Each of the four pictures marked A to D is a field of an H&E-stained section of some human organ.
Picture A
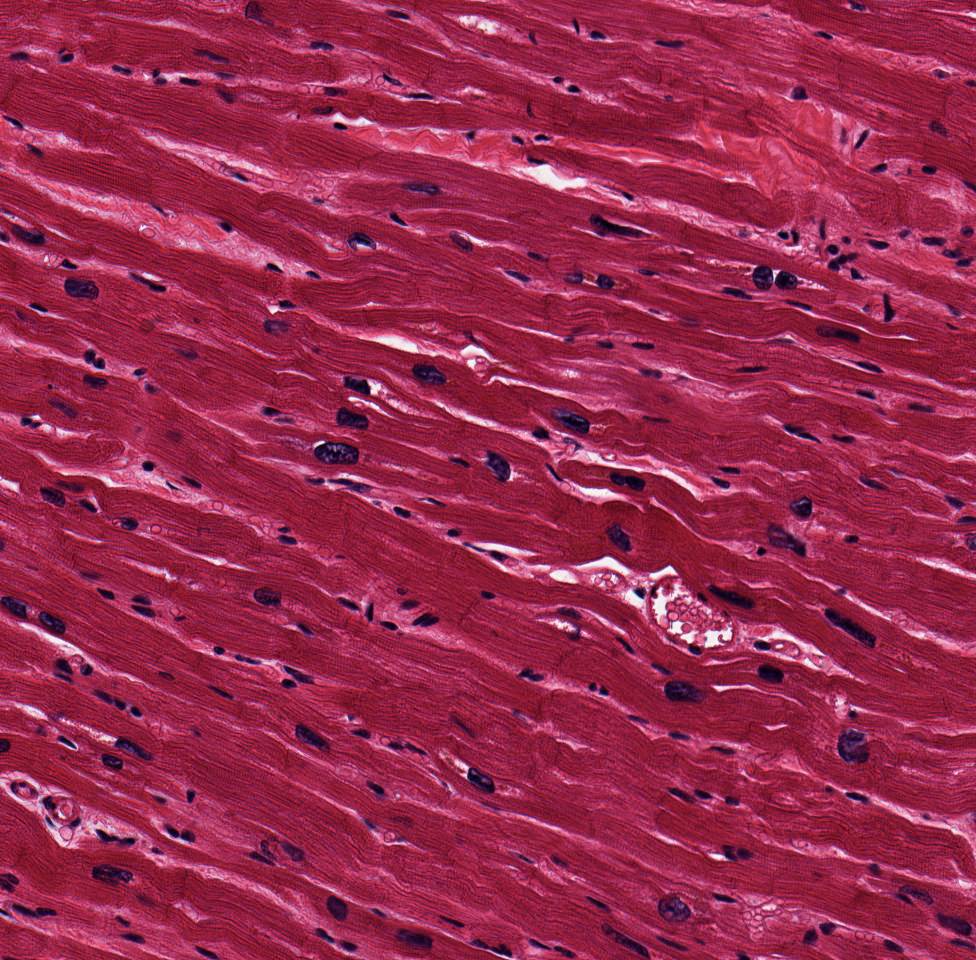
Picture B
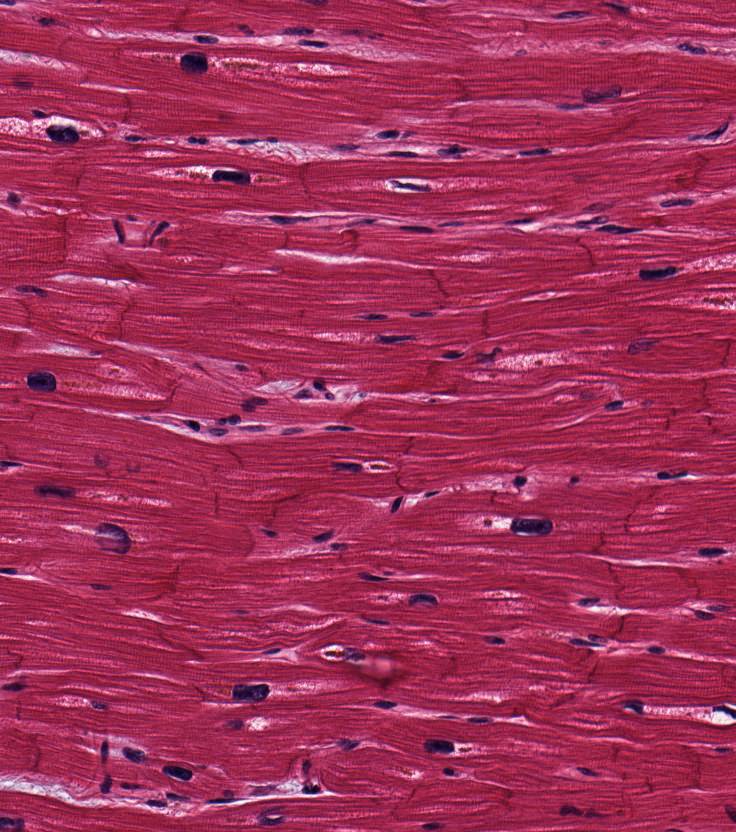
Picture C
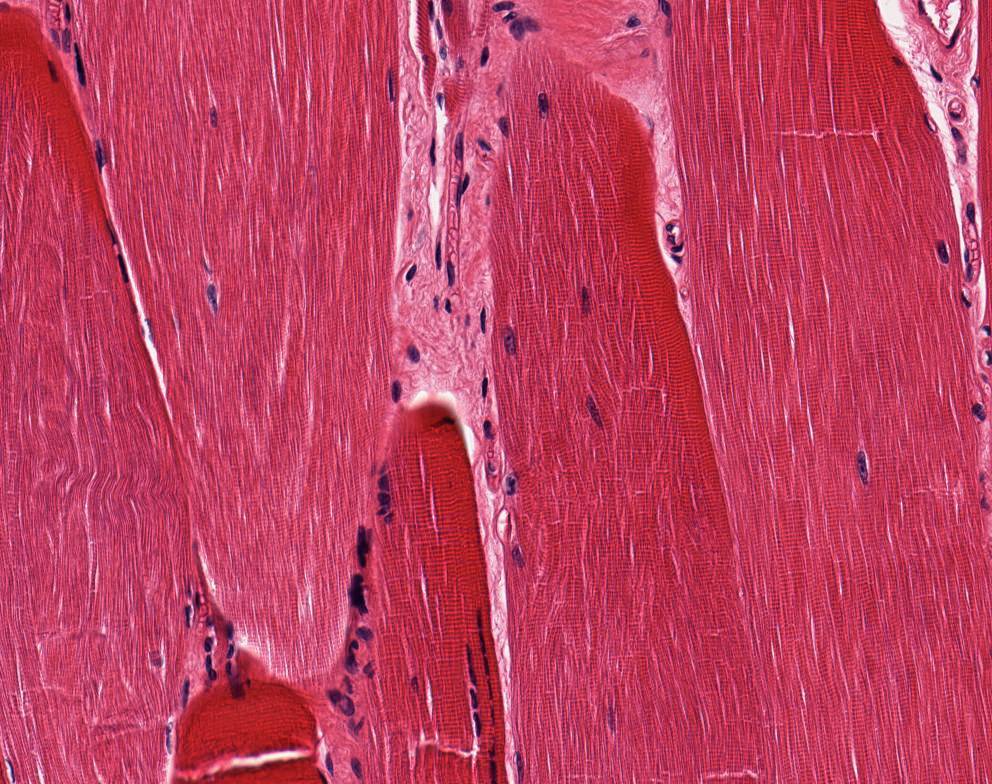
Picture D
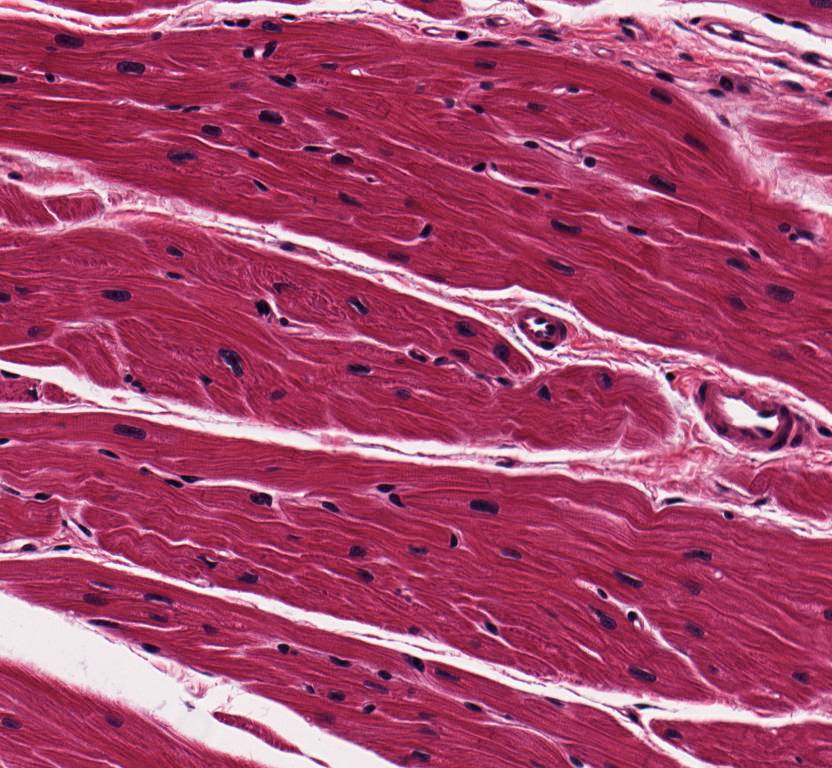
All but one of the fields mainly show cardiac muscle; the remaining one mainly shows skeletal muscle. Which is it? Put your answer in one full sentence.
The one that mainly shows skeletal muscle is picture C.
